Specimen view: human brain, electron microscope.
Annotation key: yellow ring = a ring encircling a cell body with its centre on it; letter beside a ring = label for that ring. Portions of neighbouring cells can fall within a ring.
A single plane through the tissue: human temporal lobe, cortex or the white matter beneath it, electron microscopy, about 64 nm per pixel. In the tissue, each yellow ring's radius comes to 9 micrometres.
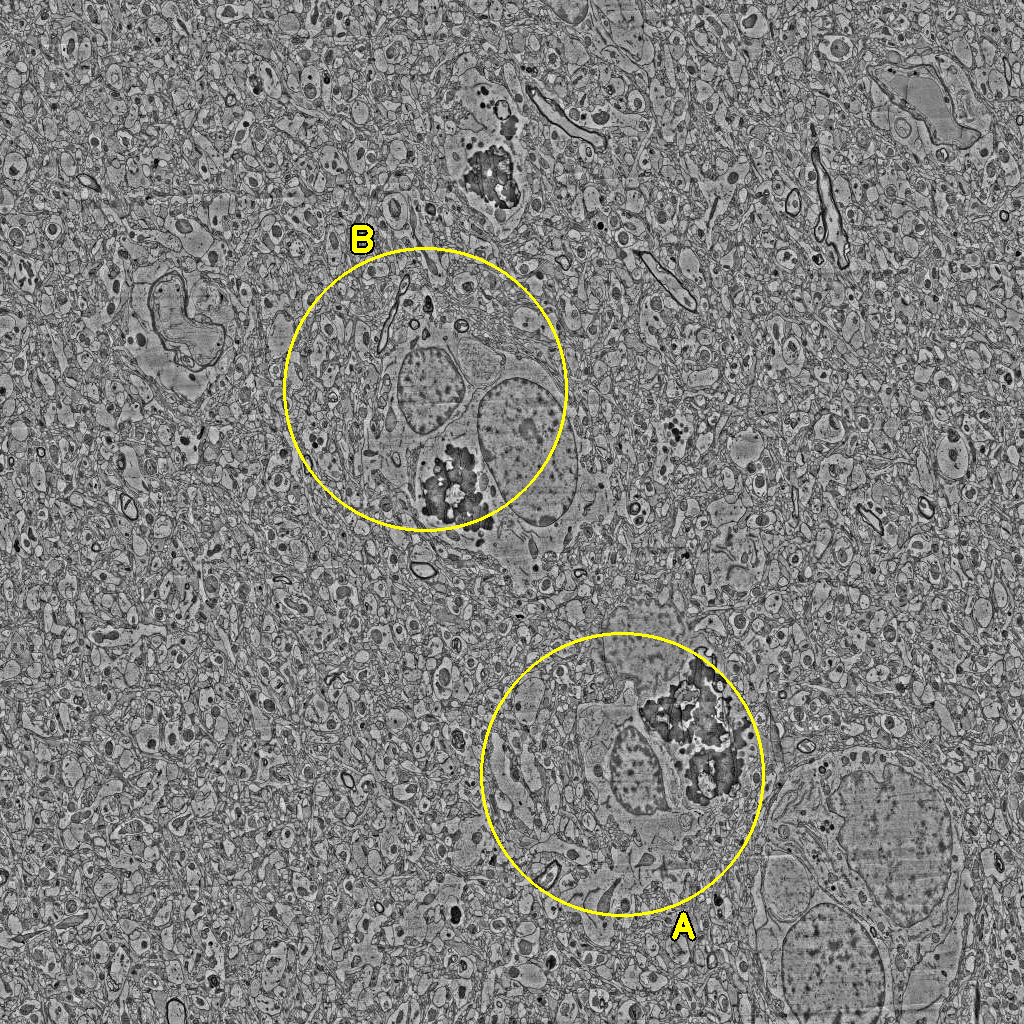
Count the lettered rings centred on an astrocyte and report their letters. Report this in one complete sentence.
The micrograph shows two rings each centred on an astrocyte, those being the rings lettered A and B.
